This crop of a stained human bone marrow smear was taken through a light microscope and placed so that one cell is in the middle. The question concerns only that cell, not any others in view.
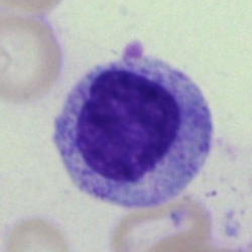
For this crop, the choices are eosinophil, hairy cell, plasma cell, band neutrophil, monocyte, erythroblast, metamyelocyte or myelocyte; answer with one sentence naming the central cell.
The cell in the middle of the field of view is a myelocyte.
